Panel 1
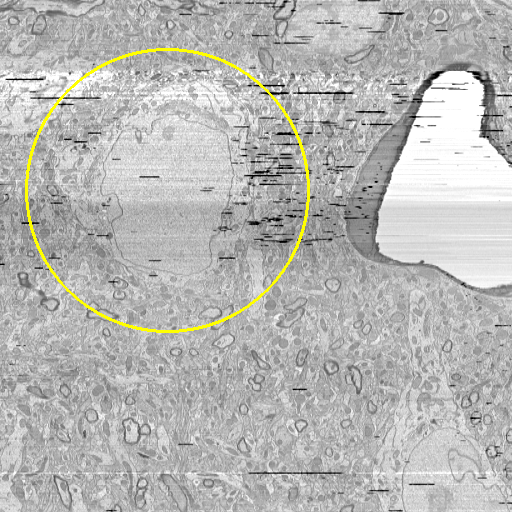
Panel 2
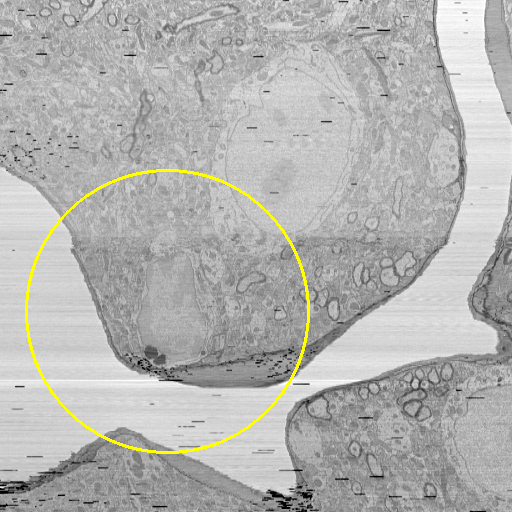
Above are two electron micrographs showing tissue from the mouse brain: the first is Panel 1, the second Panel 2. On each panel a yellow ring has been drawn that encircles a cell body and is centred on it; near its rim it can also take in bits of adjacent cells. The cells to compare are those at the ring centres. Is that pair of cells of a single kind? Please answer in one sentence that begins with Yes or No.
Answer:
No, the ring-centred cells of Panel 1 and Panel 2 belong to two kinds.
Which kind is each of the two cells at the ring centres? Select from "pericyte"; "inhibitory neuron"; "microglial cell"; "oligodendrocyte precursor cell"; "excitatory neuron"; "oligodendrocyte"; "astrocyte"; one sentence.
The cell at the centre of the ring is an excitatory neuron in the first picture and a microglial cell in the second.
